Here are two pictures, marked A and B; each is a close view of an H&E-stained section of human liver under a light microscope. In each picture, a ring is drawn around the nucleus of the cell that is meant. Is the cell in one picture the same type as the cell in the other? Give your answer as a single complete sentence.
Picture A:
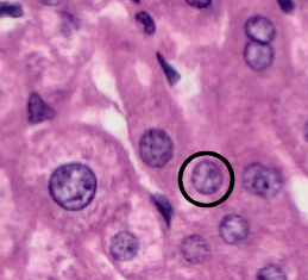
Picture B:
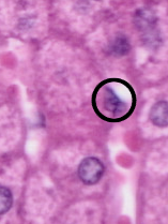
No; the cell in picture A is a hepatocyte, while the one in picture B is an endothelial cell.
